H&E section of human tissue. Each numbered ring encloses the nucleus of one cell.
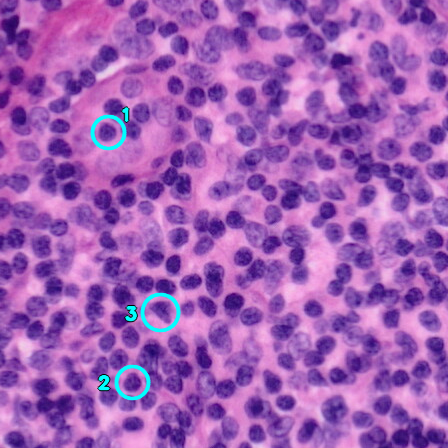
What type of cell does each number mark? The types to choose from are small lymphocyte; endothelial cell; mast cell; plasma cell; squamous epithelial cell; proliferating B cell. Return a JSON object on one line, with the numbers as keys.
{"1": "endothelial cell", "2": "small lymphocyte", "3": "small lymphocyte"}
